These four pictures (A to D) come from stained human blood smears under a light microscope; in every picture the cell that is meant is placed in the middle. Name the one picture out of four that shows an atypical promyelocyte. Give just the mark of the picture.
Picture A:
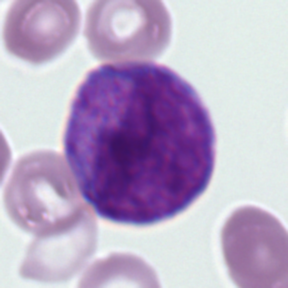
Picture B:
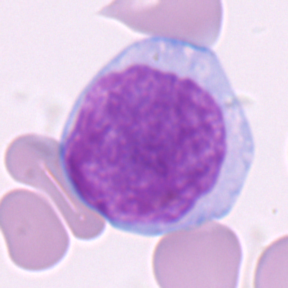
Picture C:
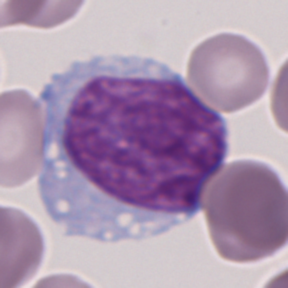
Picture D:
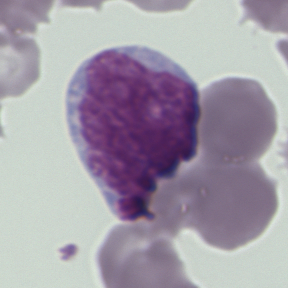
A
